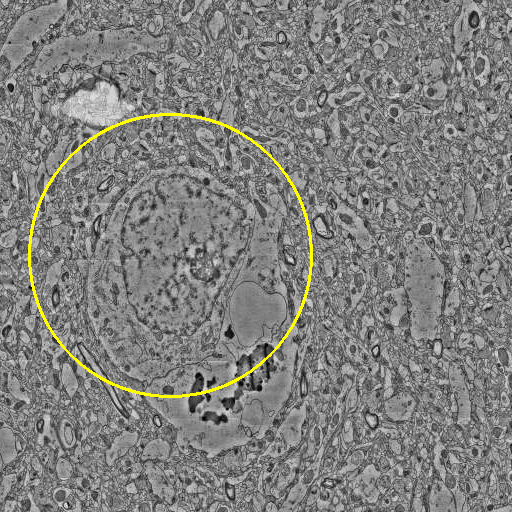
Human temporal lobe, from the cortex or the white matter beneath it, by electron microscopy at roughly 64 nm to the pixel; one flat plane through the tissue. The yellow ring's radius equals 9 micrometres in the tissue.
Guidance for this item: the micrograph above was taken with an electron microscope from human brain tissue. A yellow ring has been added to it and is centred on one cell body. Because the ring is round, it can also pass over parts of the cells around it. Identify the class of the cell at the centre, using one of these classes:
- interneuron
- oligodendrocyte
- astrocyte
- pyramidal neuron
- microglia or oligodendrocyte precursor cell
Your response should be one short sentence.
The ring surrounds the body of an interneuron.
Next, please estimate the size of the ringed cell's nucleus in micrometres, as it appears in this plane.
In this plane the nucleus is about 10 micrometres by 8.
